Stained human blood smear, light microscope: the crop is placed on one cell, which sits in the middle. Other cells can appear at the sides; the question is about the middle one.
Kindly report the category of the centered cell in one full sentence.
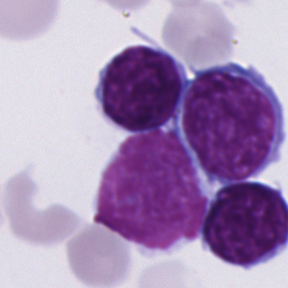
The cell in the middle of the field of view is a myeloblast.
